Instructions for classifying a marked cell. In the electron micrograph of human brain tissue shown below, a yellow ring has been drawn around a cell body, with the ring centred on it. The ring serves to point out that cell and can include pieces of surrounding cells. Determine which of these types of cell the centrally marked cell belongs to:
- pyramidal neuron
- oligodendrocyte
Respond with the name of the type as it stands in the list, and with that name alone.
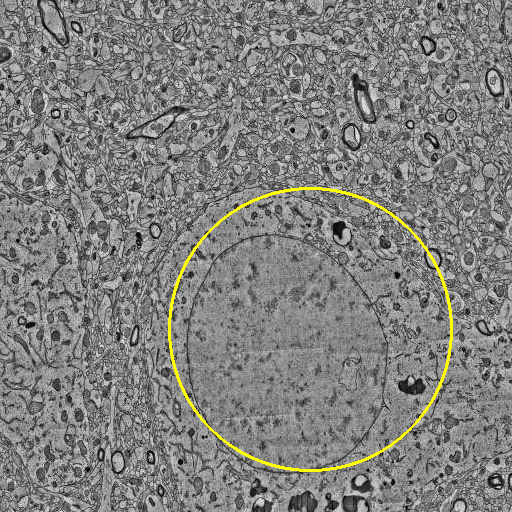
pyramidal neuron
